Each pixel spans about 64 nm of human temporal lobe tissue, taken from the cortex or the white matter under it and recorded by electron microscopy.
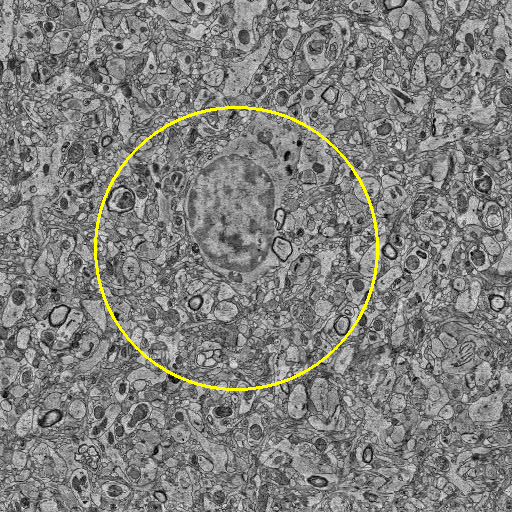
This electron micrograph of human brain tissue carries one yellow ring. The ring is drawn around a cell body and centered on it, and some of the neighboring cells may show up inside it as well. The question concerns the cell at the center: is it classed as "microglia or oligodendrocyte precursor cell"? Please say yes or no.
No, it is classed as another kind.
